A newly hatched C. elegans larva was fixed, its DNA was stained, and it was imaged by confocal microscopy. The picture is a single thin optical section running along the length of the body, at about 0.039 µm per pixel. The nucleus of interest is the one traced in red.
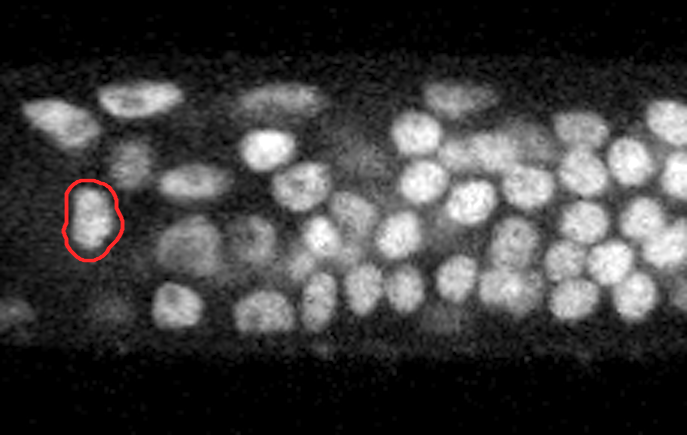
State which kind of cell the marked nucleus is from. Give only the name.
valve cell of the gut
